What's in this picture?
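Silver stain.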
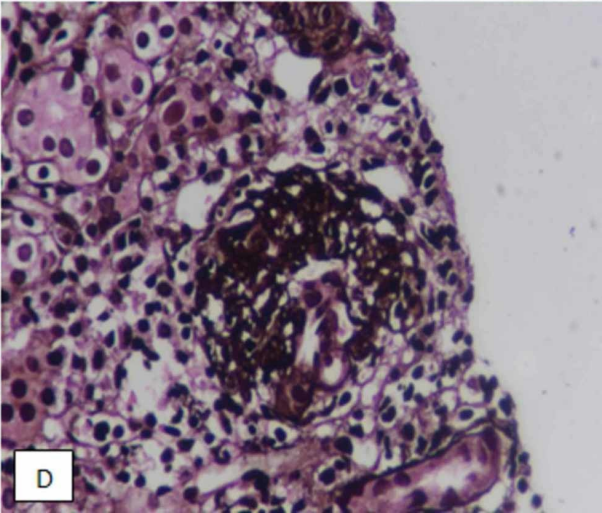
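A glomerulus sits among tubules and a cellular interstitium, its tuft outlined by dense black-brown silver-stained matrix. Part of the tuft is consolidated by this dark material with loss of open capillary loops, in keeping with segmental sclerosis, and many small dark nuclei crowd the surrounding interstitium.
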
